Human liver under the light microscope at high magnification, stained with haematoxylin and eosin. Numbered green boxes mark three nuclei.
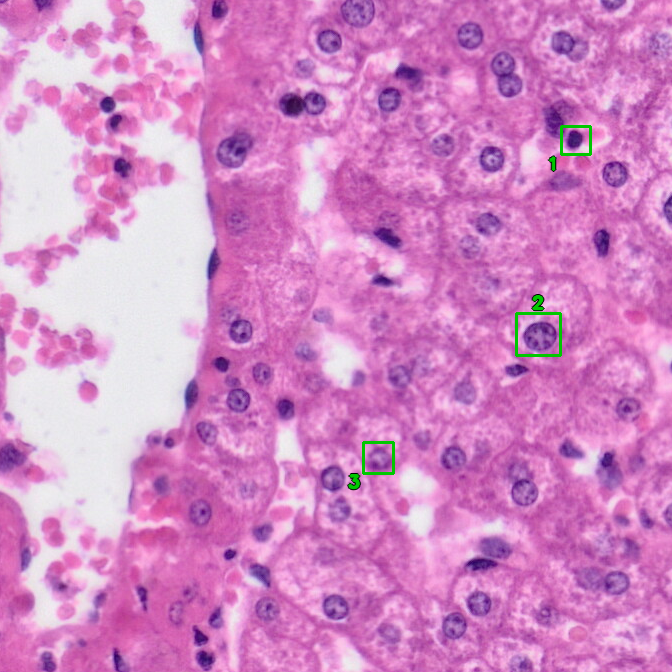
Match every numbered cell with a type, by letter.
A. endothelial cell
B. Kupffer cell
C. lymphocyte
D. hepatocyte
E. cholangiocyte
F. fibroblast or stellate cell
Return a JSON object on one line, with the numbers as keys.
{"1": "C", "2": "D", "3": "D"}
